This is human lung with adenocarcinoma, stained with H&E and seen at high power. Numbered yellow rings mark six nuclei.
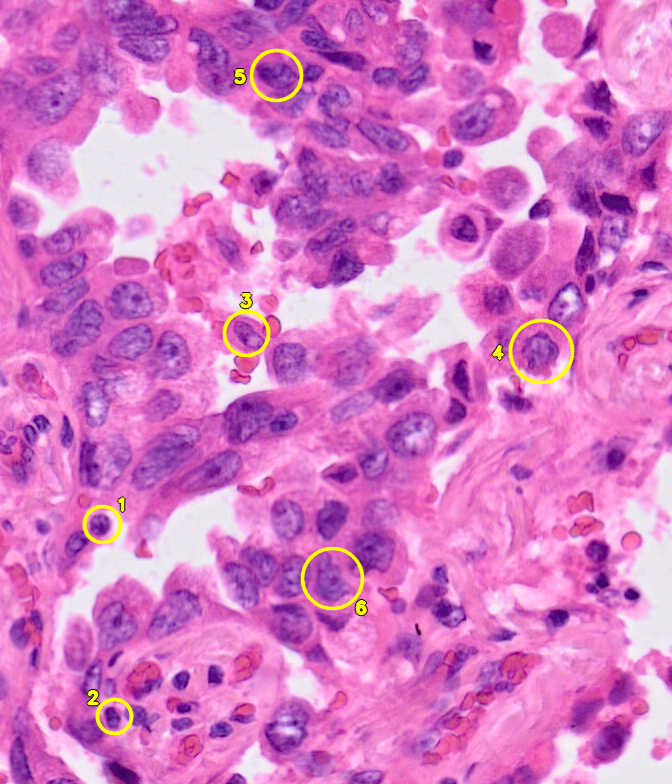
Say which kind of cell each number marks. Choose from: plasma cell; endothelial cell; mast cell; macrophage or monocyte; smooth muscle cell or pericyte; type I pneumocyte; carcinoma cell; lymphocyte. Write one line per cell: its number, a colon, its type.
1: lymphocyte
2: lymphocyte
3: macrophage or monocyte
4: carcinoma cell
5: carcinoma cell
6: carcinoma cell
